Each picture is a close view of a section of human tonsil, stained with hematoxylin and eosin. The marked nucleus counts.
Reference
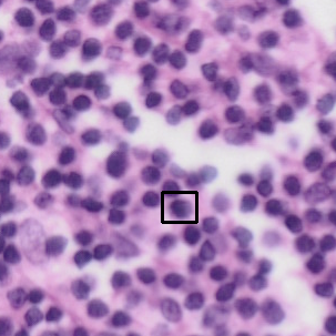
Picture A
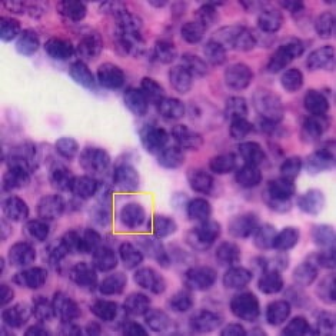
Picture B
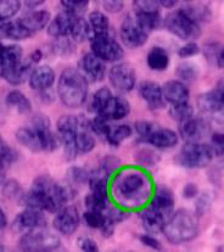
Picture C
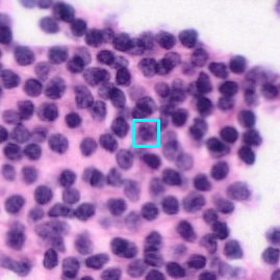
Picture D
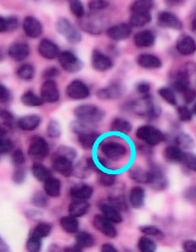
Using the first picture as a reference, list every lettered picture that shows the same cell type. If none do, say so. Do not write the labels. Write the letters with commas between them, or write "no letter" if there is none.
A, C, D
